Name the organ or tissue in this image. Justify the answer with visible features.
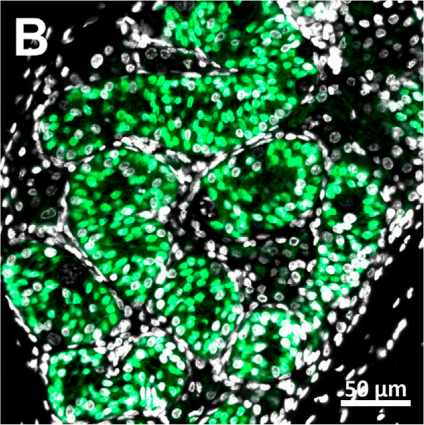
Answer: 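Testicular tissue. Rounded cords of tightly packed cells. Cords are separated by loose tissue with elongated nuclei.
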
